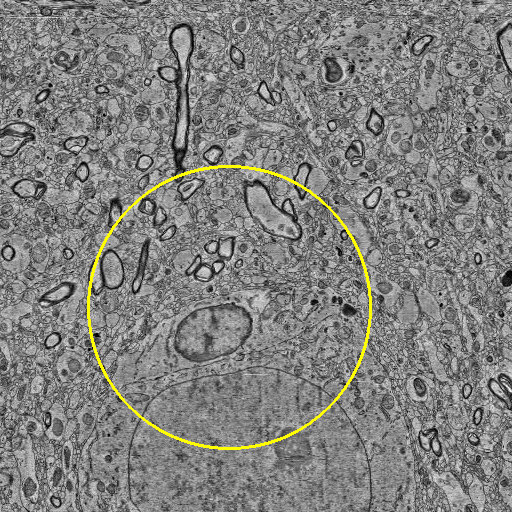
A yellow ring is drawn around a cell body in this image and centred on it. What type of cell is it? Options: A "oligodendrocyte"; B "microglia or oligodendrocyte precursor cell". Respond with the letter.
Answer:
B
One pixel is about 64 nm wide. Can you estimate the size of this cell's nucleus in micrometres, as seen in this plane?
Approximately 5 x 3 micrometres in this plane.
